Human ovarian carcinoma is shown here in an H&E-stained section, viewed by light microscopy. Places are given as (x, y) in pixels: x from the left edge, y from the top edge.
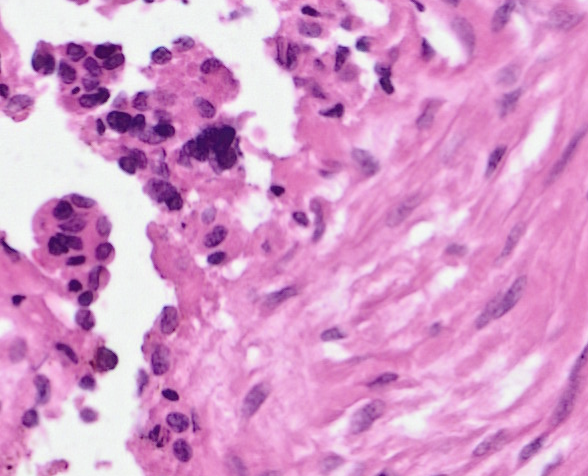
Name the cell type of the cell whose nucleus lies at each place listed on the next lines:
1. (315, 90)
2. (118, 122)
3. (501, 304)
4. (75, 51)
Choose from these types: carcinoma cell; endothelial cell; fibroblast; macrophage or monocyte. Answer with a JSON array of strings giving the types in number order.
["macrophage or monocyte", "carcinoma cell", "fibroblast", "carcinoma cell"]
